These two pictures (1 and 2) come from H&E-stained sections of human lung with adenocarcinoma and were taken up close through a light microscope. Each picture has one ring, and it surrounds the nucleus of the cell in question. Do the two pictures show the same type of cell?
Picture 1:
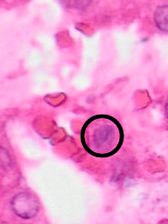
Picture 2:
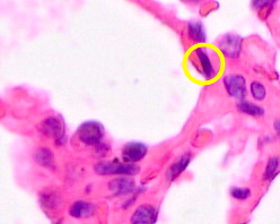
no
